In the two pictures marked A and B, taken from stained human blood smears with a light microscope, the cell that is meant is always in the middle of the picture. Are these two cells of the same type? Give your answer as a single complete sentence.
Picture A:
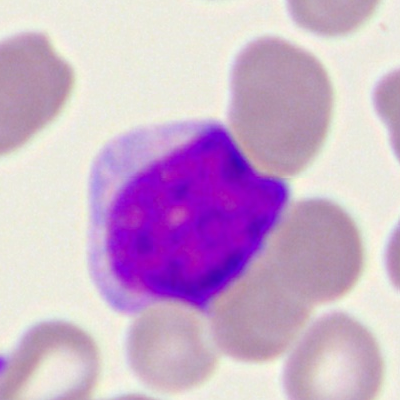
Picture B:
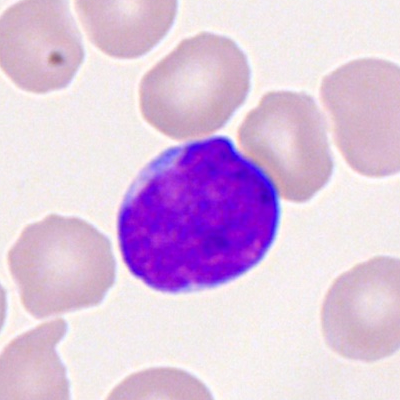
Yes, both cells are myeloblasts.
